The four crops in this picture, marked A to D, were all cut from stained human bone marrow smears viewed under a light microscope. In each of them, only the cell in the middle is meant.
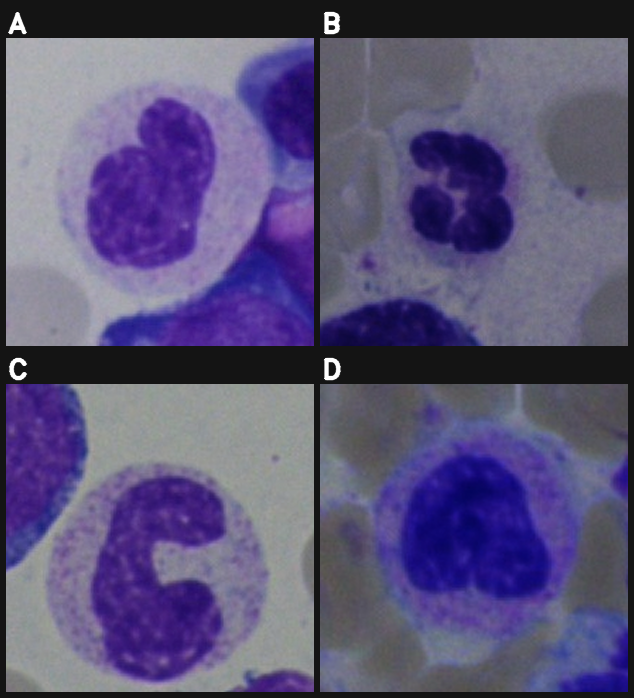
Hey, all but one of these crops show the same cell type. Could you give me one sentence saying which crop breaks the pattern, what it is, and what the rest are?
Unlike the other crops, all showing band neutrophils, crop B is a segmented neutrophil.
